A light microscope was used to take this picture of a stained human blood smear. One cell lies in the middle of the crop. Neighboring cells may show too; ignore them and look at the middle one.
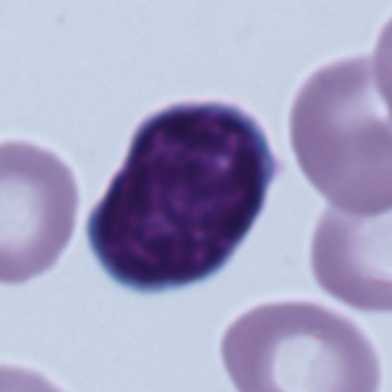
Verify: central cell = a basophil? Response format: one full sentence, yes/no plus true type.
No, the central cell qualifies as a lymphocyte rather than as a basophil.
